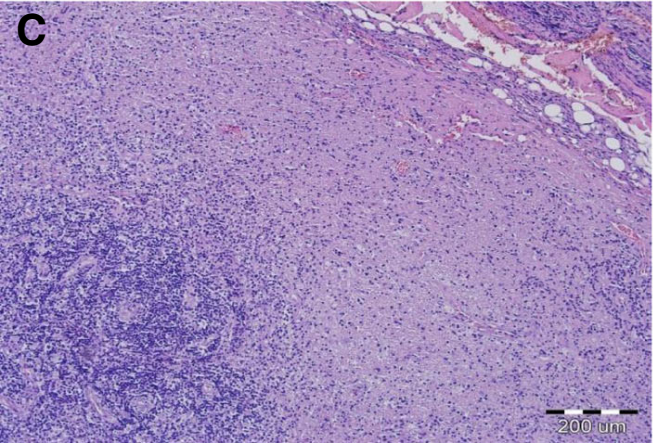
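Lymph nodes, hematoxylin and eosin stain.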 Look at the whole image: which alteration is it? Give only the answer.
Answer: Coagulative necrosis.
